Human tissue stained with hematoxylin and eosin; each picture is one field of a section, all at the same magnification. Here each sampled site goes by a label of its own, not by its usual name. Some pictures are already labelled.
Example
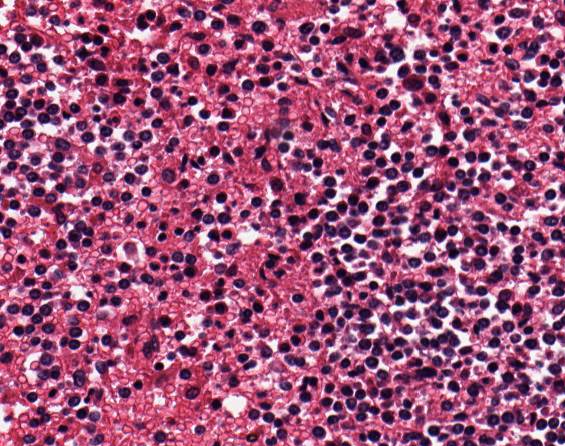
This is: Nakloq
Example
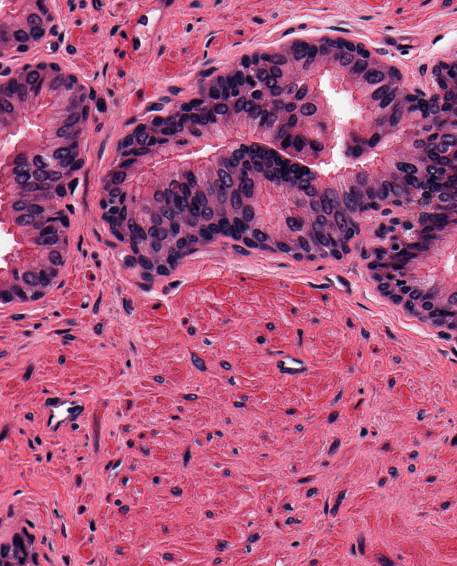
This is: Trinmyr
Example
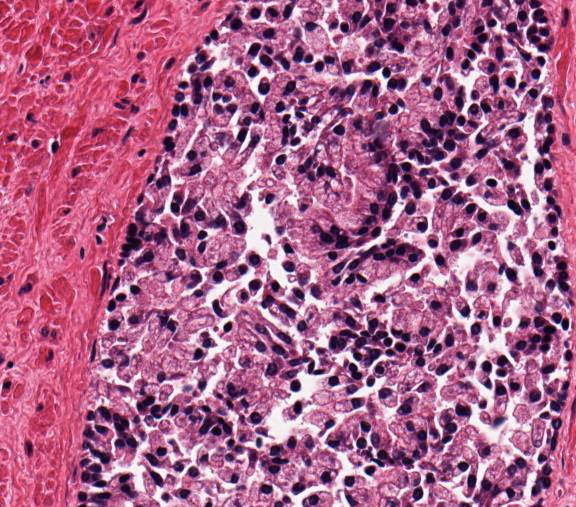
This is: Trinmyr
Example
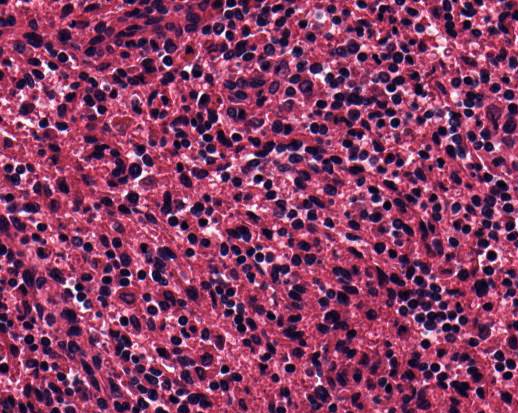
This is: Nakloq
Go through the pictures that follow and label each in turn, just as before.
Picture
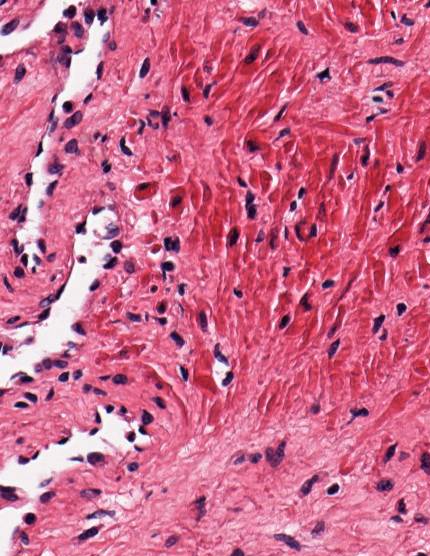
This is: Trinmyr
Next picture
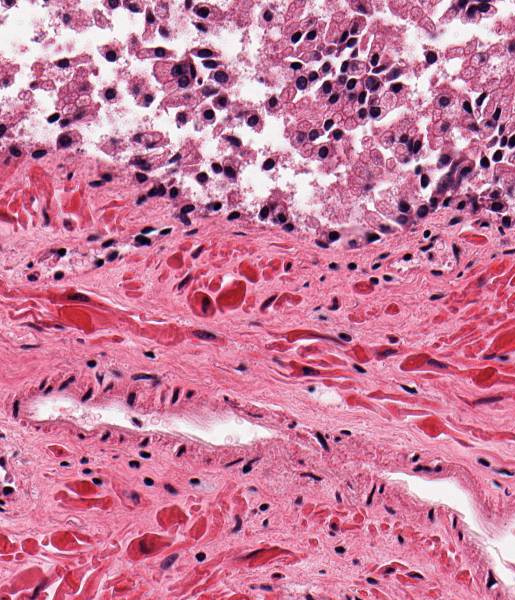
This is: Trinmyr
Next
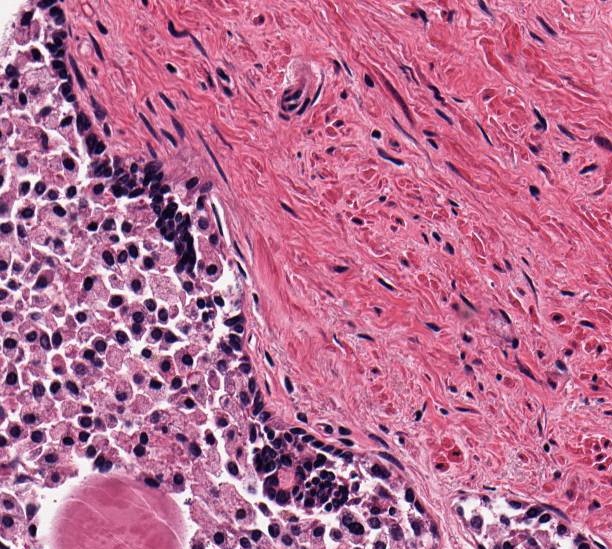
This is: Trinmyr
